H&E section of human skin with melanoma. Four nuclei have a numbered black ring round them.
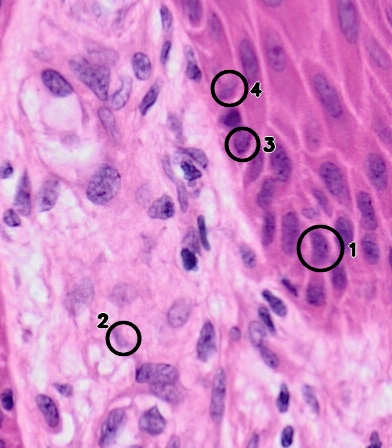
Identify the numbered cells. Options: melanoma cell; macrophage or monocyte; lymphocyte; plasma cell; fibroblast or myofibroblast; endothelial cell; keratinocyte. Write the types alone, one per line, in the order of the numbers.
keratinocyte
fibroblast or myofibroblast
keratinocyte
keratinocyte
